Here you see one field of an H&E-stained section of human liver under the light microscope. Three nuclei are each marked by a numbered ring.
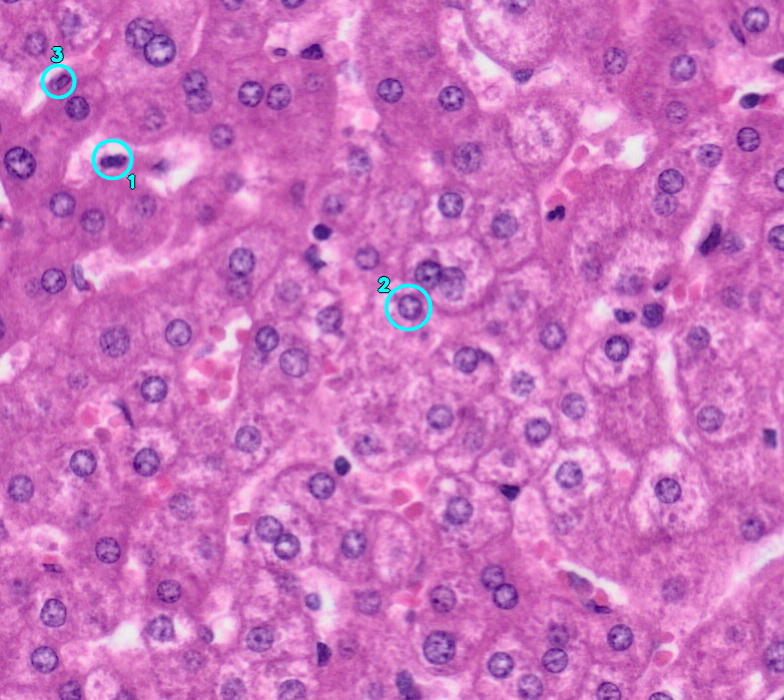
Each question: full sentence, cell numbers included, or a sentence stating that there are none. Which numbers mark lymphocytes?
With the exception of cell 1, no marked cell is a lymphocyte.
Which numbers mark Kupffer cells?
The numbered cells include exactly one that is a Kupffer cell, which is cell 3.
